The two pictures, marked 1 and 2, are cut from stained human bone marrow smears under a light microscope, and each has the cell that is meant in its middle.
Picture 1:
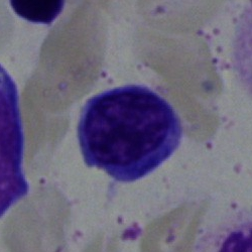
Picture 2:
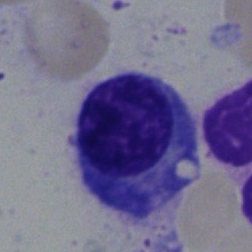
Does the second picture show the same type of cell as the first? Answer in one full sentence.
No, picture 1 shows a lymphocyte and picture 2 shows a plasma cell.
